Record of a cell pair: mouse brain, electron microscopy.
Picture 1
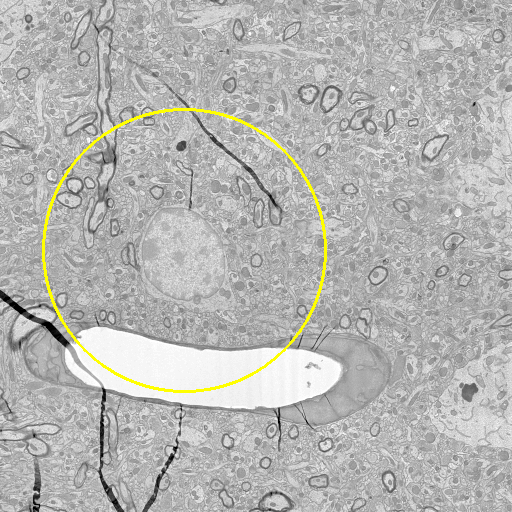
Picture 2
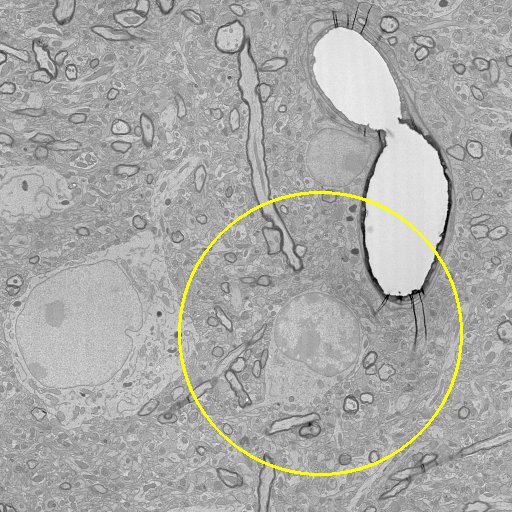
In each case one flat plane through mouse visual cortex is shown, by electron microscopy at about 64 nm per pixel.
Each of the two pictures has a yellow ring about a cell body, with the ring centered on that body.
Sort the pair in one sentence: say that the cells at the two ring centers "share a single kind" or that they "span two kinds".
The cells centered in the rings of Pictures 1 and 2 share a single kind.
